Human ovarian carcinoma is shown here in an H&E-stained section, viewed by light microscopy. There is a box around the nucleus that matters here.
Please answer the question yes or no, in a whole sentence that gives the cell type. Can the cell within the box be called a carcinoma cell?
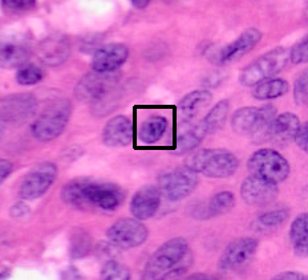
No, the cell within the box is described as a macrophage or monocyte and not as a carcinoma cell.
